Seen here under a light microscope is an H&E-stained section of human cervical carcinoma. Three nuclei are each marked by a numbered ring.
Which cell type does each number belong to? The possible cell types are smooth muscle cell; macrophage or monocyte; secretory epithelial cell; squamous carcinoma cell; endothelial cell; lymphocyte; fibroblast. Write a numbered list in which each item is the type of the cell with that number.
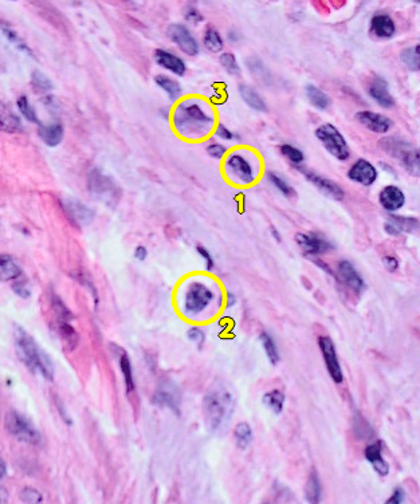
1. lymphocyte
2. lymphocyte
3. fibroblast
